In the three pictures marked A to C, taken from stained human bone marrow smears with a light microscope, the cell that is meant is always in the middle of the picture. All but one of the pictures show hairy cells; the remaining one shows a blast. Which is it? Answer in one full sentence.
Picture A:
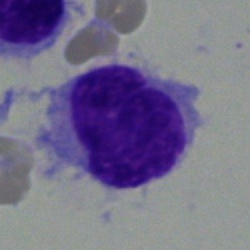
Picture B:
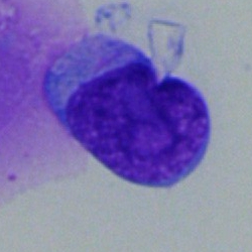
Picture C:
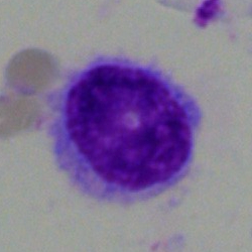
It is picture B that shows the blast.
